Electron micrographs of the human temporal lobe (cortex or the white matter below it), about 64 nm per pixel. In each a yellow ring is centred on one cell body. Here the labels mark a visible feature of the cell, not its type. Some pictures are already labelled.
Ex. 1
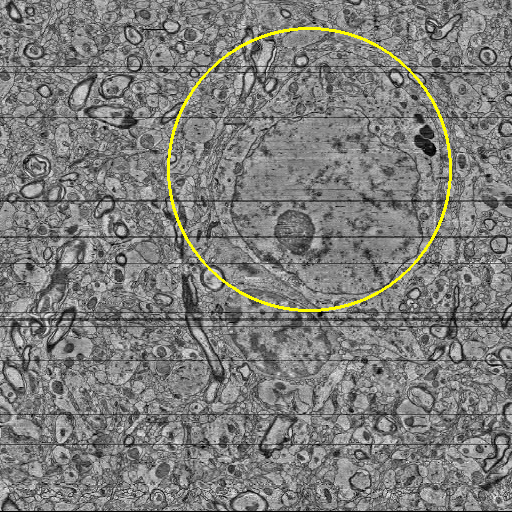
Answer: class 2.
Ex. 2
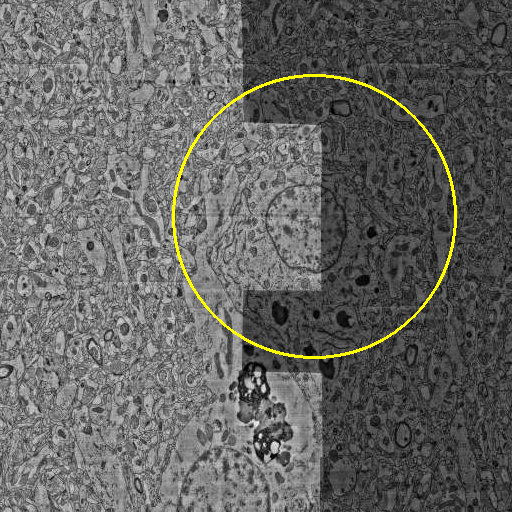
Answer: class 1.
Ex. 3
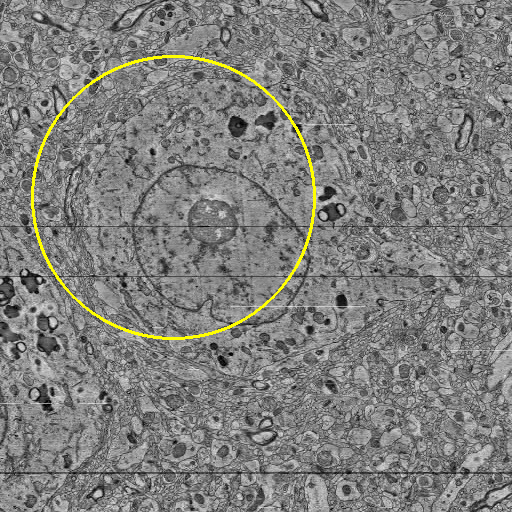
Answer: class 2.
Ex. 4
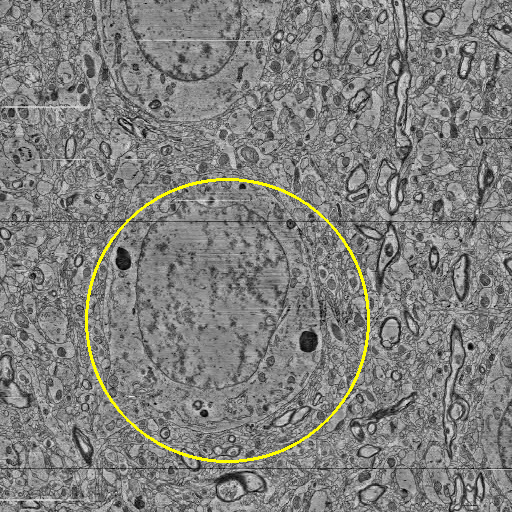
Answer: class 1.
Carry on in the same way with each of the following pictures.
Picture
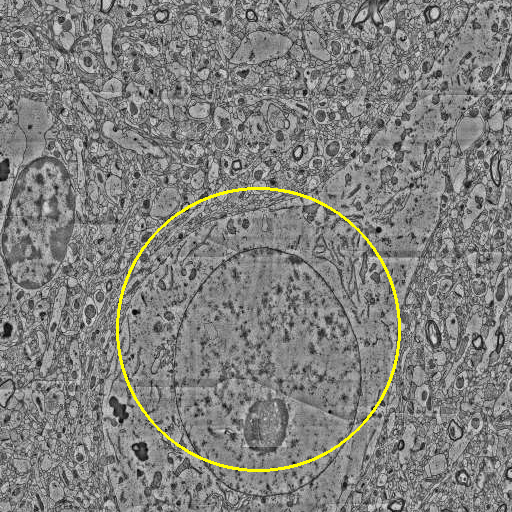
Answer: class 2.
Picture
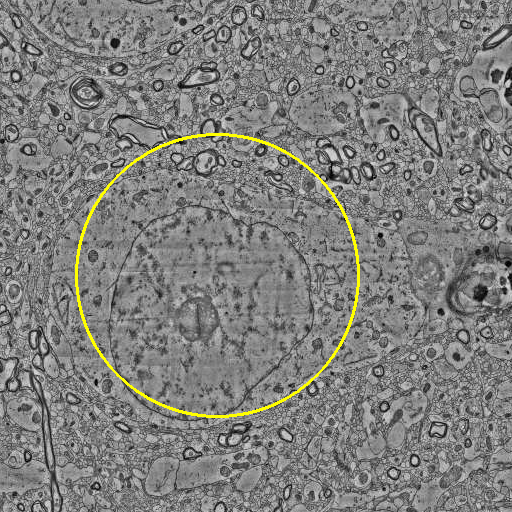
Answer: class 2.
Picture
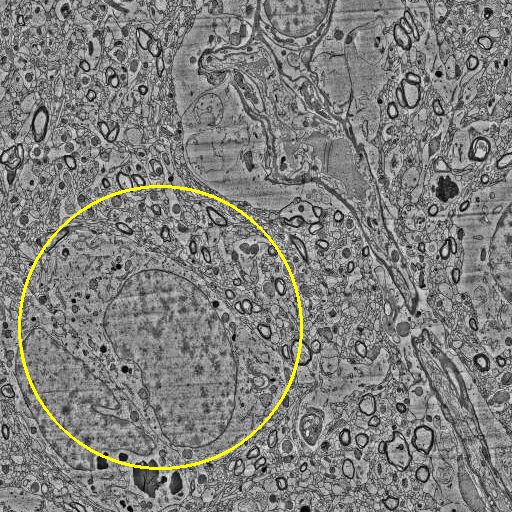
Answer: class 1.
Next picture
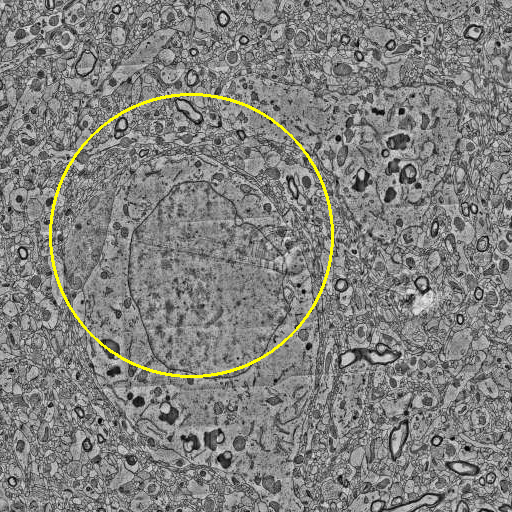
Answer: class 1.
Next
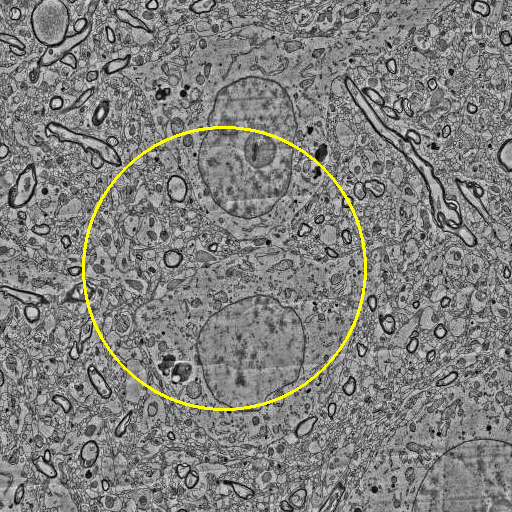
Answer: class 1.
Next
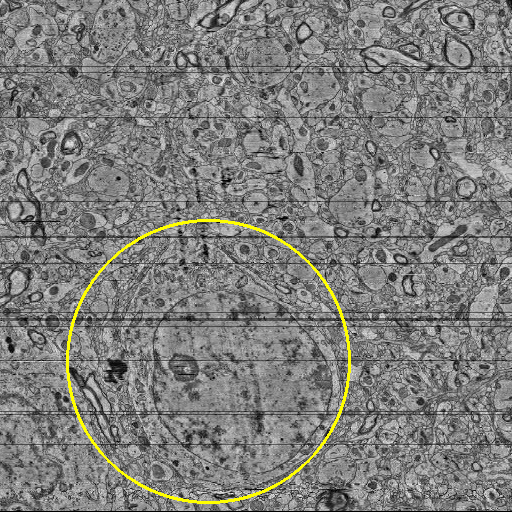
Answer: class 2.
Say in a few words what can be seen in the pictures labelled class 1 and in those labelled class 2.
In class 1: no nucleolus seen. In class 2: nucleolus seen.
